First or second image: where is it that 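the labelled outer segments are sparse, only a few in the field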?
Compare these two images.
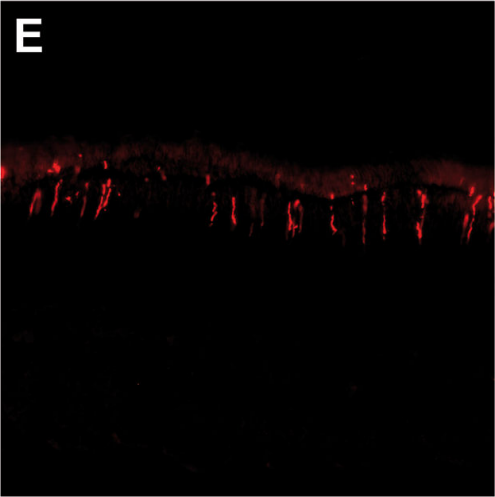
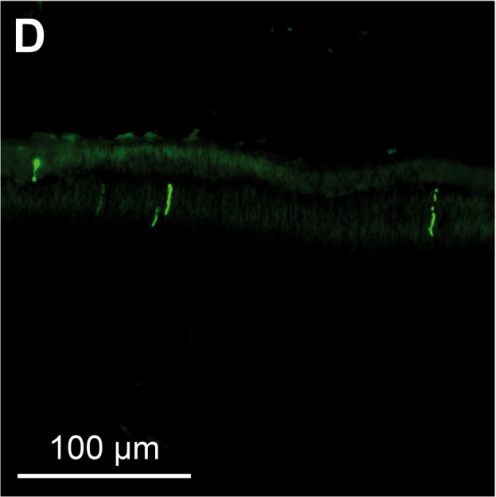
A: The second image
